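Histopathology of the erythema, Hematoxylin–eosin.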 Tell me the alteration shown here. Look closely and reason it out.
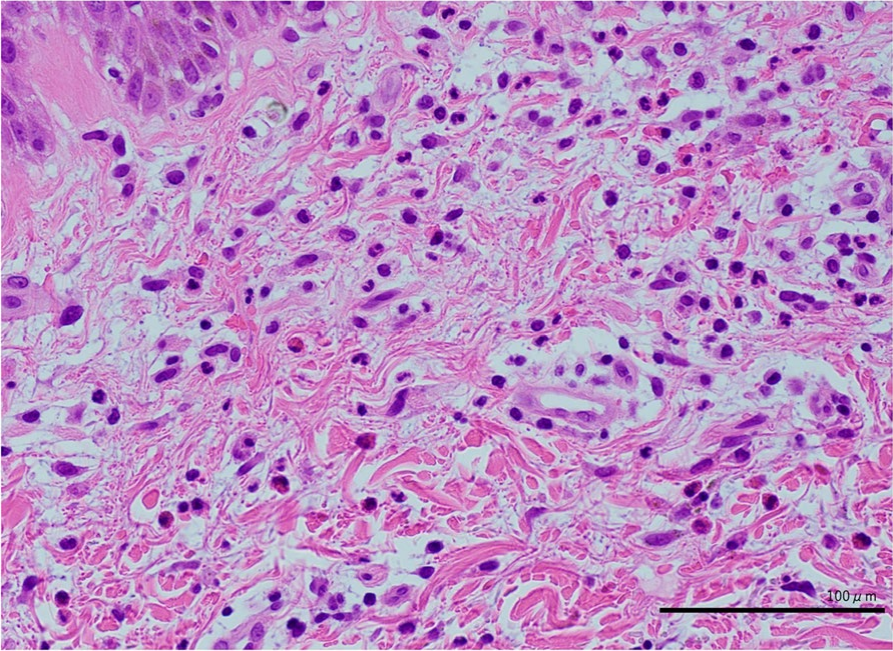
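Many small cells with dark, compact nuclei lie scattered densely between the fibers. The cells are spread through the connective tissue rather than forming an organized layer. That points to this answer: inflammatory cell infiltration.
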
